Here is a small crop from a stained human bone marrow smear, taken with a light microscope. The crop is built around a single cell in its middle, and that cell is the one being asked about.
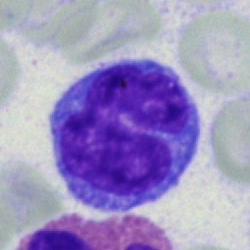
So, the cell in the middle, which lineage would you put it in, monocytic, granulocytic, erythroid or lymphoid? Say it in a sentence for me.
Assigned to the monocytic lineage is the cell at the center.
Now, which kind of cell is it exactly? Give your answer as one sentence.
Seen at the centre of the crop is a monocyte.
